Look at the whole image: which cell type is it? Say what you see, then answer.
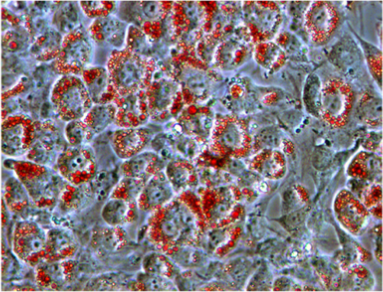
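Adipocytes. Rounded cells packed with red-stained droplets. Some flatter cells between them hold few or no droplets.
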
